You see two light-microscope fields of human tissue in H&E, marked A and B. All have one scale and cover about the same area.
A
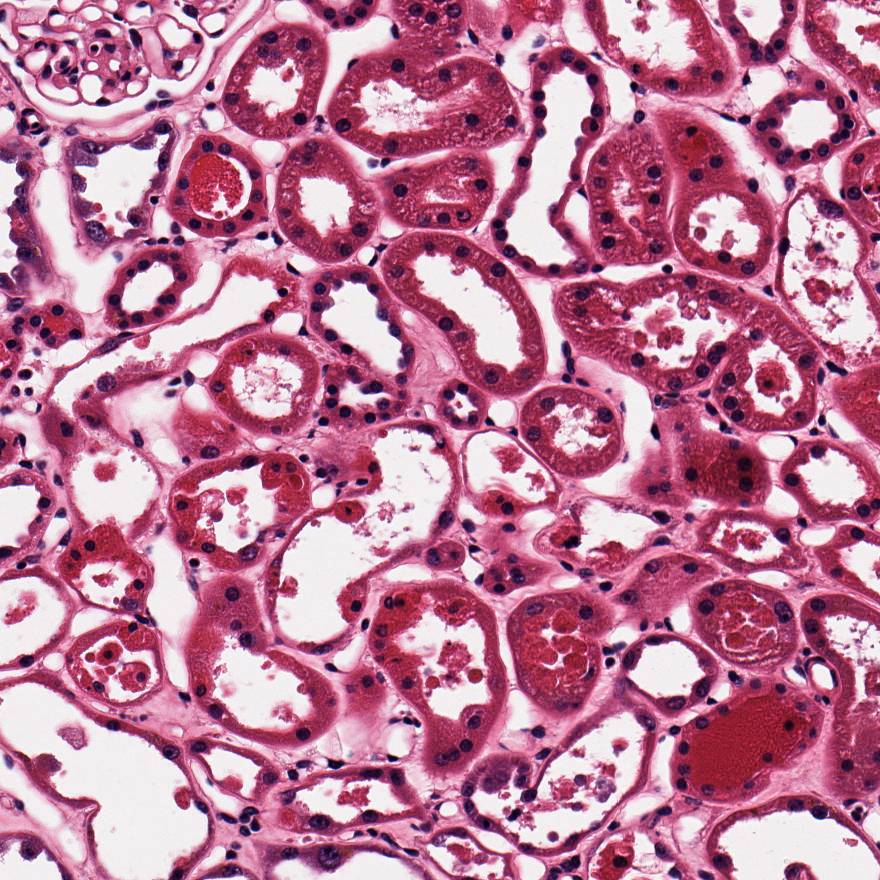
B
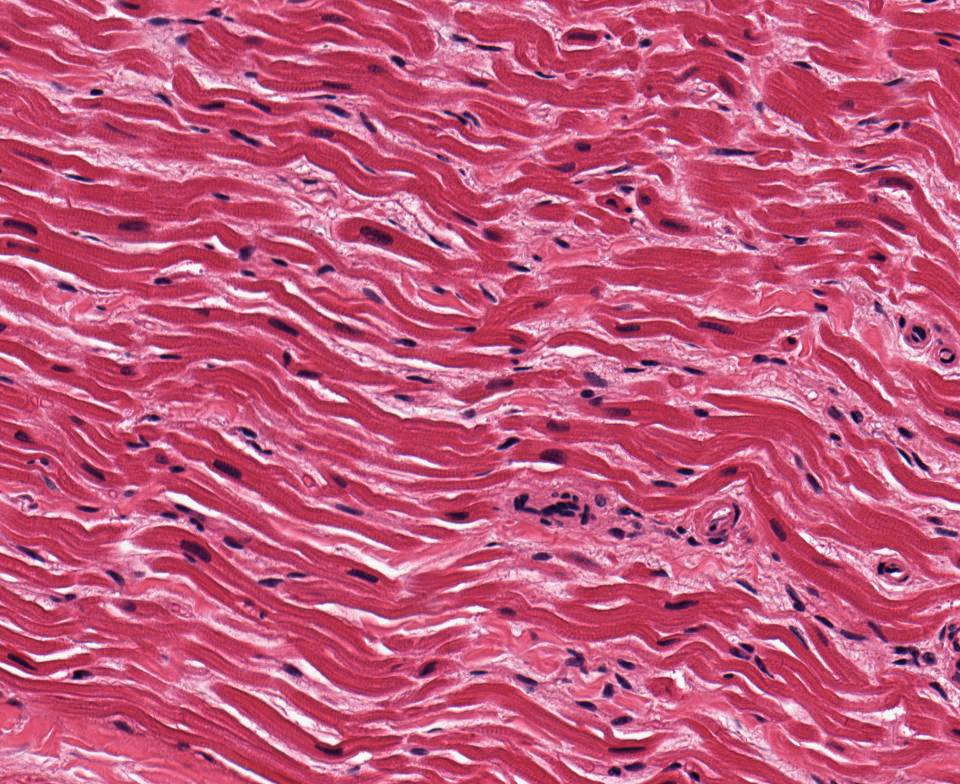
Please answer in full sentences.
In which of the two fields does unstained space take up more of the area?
Unstained space takes up more of field A than of field B.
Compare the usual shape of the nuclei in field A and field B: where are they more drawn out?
On the whole the nuclei of field B are more drawn out than those of field A.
